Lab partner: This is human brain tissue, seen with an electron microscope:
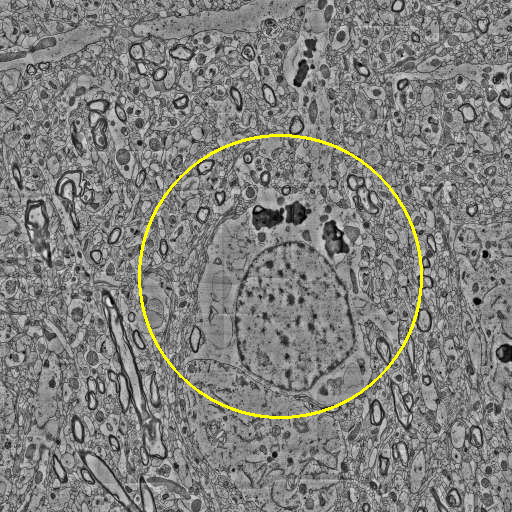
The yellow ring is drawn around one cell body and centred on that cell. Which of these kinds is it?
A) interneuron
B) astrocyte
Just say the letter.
B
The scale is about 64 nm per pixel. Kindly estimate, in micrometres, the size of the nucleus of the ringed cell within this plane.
The ringed cell's nucleus is about 9 micrometres long and 8 micrometres wide in this plane.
